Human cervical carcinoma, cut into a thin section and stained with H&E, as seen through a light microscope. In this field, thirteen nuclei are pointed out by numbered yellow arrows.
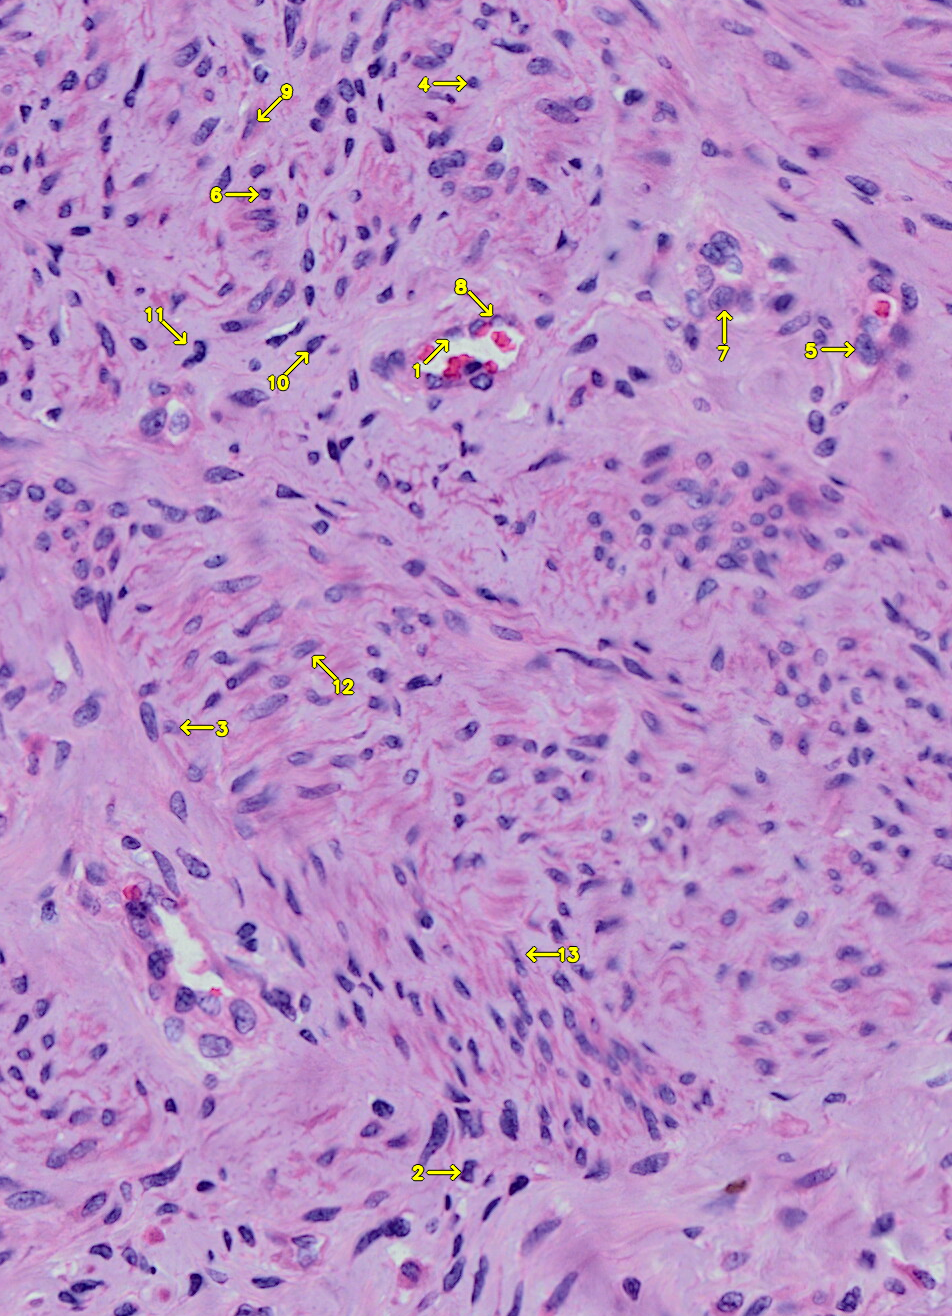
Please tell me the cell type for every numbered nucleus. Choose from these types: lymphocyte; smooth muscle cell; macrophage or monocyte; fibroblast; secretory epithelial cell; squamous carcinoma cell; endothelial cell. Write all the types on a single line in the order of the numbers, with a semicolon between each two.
endothelial cell; fibroblast; smooth muscle cell; smooth muscle cell; endothelial cell; smooth muscle cell; endothelial cell; endothelial cell; smooth muscle cell; fibroblast; fibroblast; smooth muscle cell; smooth muscle cell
